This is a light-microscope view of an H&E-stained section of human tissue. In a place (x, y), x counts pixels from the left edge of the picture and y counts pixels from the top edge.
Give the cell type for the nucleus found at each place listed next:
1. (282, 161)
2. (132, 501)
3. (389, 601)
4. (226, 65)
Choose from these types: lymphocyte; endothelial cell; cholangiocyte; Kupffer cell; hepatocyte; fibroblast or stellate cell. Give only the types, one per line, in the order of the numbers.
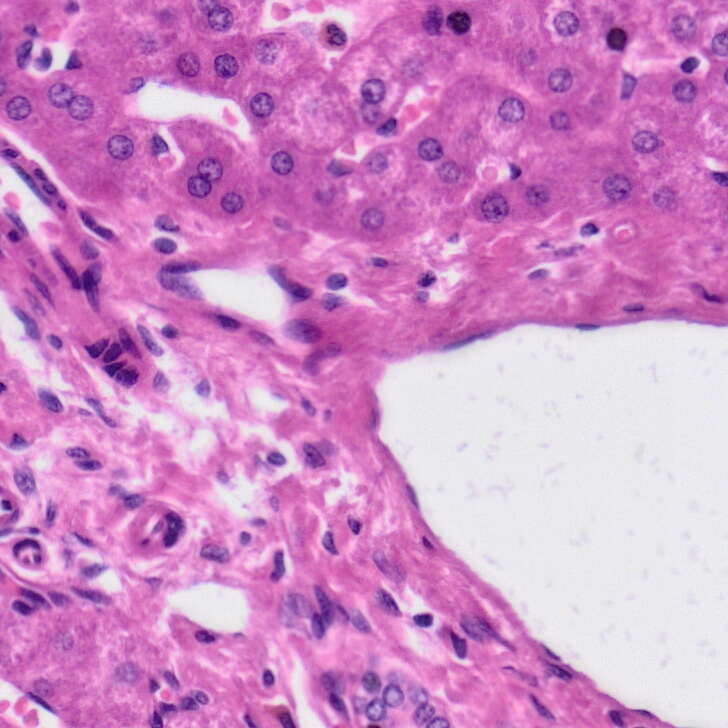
hepatocyte
fibroblast or stellate cell
fibroblast or stellate cell
hepatocyte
